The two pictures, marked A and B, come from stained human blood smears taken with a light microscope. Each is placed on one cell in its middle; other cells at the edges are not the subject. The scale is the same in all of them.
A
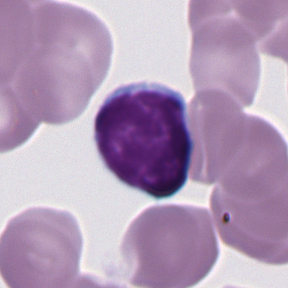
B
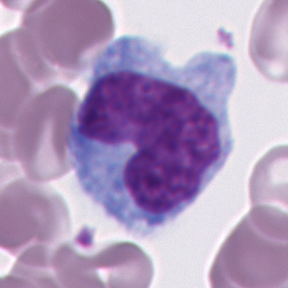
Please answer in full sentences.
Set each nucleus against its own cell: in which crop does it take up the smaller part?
Of the two, the nucleus in picture B leaves more room for cytoplasm.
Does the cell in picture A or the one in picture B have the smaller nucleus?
It is the nucleus in picture A; the one in picture B has about 1.5 times its area.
